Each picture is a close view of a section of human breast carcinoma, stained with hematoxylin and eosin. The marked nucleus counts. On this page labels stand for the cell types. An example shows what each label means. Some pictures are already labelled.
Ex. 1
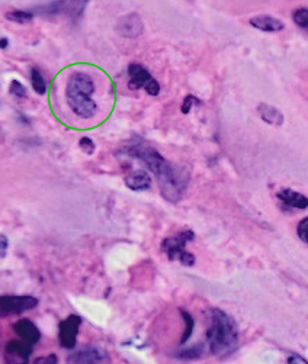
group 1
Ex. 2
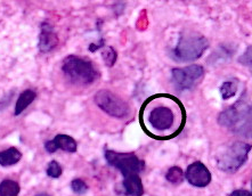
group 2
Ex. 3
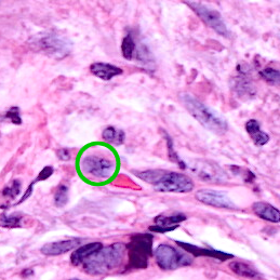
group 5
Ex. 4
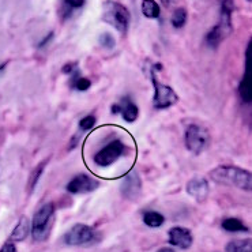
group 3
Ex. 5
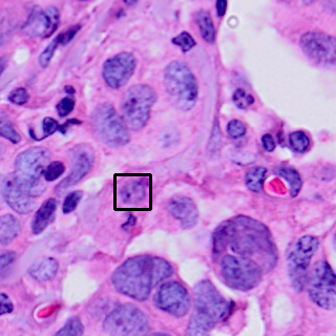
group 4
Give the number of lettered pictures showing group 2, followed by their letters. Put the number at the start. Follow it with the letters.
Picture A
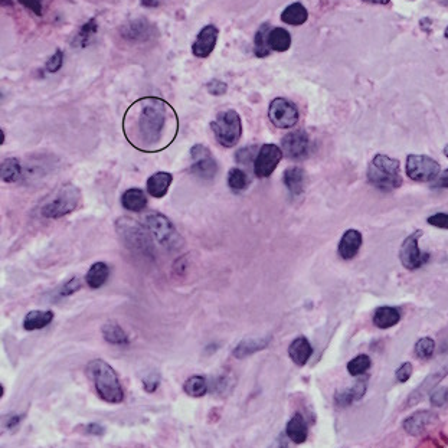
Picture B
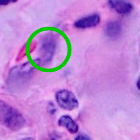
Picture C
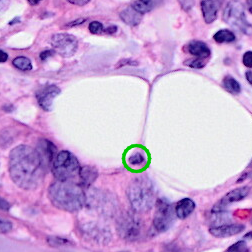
0, none of them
